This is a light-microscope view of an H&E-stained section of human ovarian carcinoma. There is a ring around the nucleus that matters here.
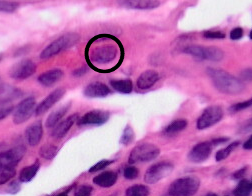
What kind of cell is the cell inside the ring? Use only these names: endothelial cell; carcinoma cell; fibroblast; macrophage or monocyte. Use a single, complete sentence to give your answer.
Recorded by type, the cell inside the ring is an endothelial cell.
